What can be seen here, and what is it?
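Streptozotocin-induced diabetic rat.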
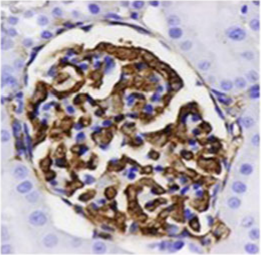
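This is a renal glomerulus: a rounded tuft of capillary loops enclosed by a thin capsule, with a clear crescent of Bowman's space between tuft and capsule. Dense brown staining outlines much of the tuft, lining the capillary loops and the cells between them, so that the tuft appears largely brown. Small blue nuclei are scattered through the tuft. Around the capsule lie tubules made of cuboidal epithelial cells with pale cytoplasm and round blue nuclei that are essentially unstained.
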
